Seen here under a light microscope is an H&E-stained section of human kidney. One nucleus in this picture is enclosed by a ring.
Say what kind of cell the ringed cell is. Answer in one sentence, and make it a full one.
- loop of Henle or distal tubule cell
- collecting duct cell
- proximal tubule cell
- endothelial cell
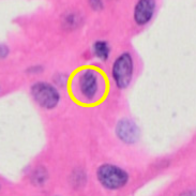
Within the stained tissue, the ringed cell is an endothelial cell.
